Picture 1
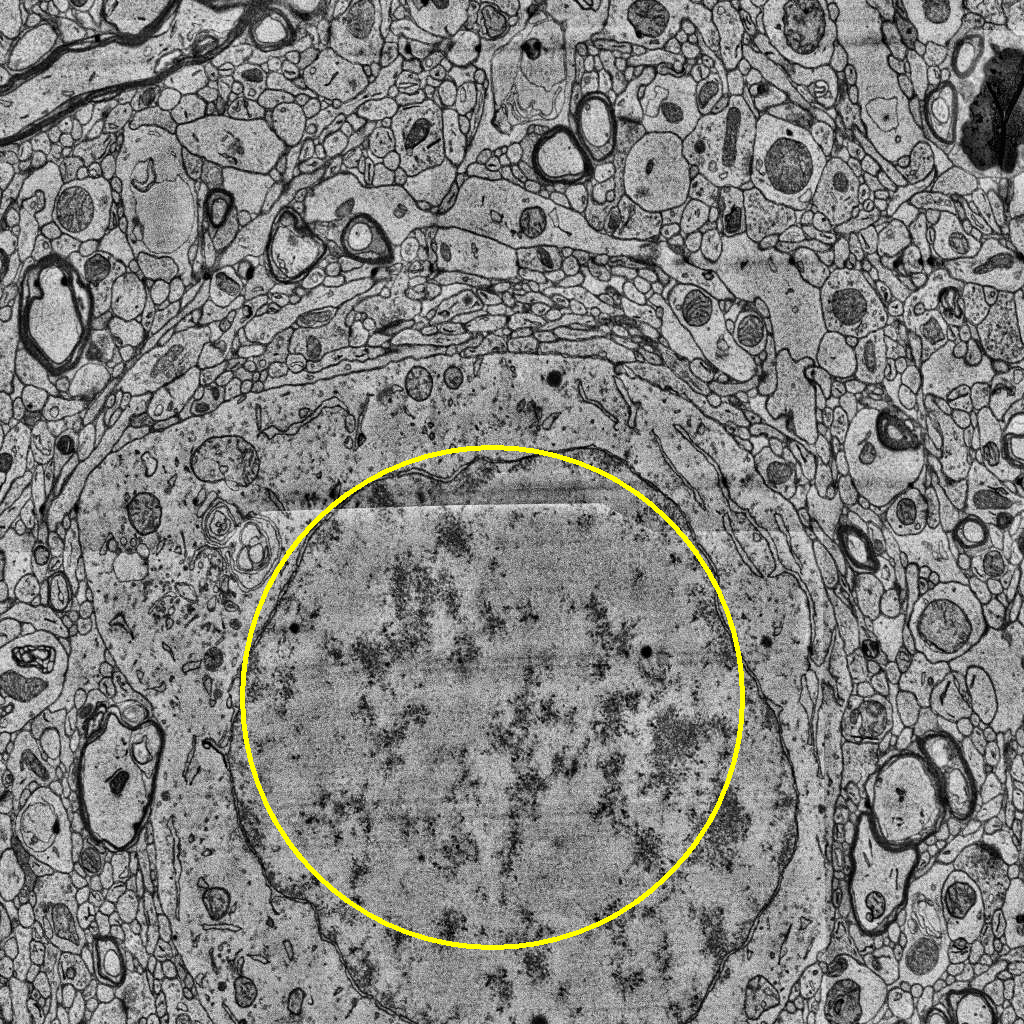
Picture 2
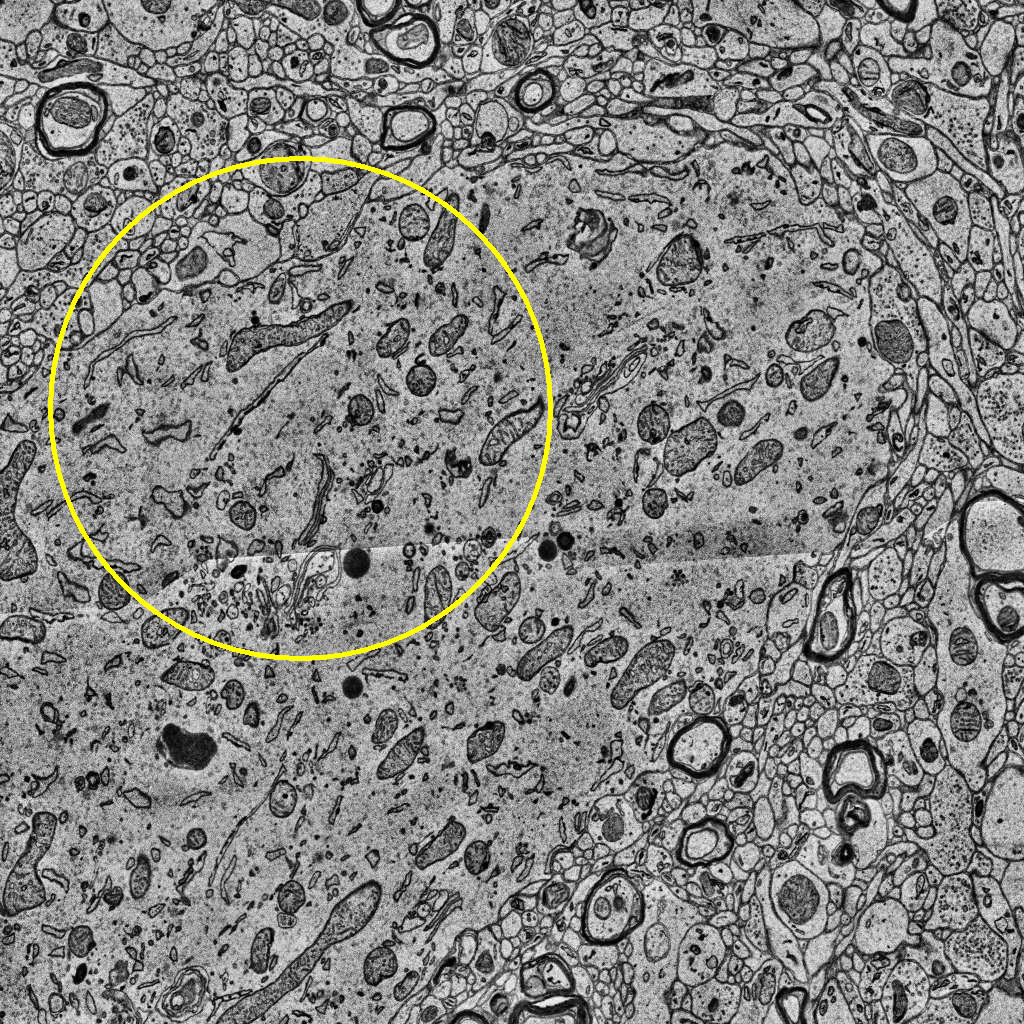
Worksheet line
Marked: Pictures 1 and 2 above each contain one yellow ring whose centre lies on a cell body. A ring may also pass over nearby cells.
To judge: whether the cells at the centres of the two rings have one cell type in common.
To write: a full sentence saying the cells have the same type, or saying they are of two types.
The cells at the centres of the rings in Picture 1 and Picture 2 have the same type.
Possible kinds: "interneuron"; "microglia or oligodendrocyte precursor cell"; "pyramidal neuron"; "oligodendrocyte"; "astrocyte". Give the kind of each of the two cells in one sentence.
The cell at the ring centre is a pyramidal neuron in both pictures.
